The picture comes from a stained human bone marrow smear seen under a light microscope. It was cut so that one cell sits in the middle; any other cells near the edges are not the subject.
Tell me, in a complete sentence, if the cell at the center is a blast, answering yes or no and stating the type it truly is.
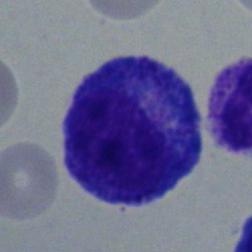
No, the central cell is not a blast; it is a promyelocyte.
